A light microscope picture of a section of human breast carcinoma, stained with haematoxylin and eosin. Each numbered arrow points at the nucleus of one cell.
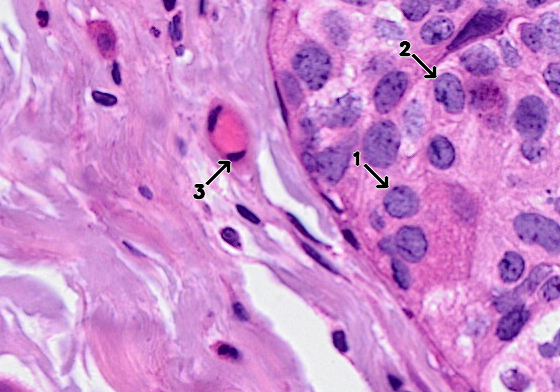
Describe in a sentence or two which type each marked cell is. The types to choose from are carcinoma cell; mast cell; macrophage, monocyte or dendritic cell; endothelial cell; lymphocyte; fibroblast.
Cell 1 is a carcinoma cell, cell 2 is a carcinoma cell and cell 3 is an endothelial cell.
